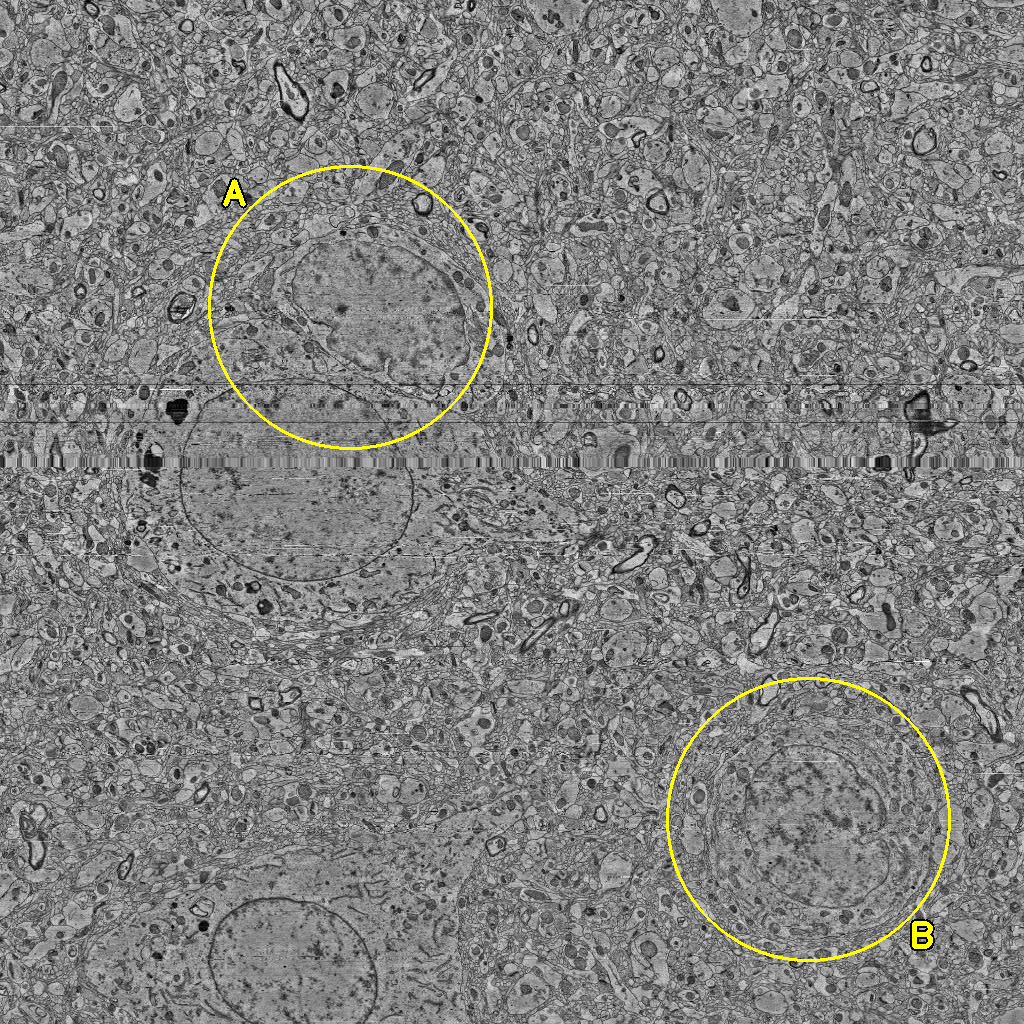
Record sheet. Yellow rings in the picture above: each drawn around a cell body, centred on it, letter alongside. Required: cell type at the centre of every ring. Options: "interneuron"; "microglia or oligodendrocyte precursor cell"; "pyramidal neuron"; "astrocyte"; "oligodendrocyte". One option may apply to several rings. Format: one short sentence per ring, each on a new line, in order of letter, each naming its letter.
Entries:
Ring A contains an interneuron at the centre.
Ring B contains an interneuron at the centre.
